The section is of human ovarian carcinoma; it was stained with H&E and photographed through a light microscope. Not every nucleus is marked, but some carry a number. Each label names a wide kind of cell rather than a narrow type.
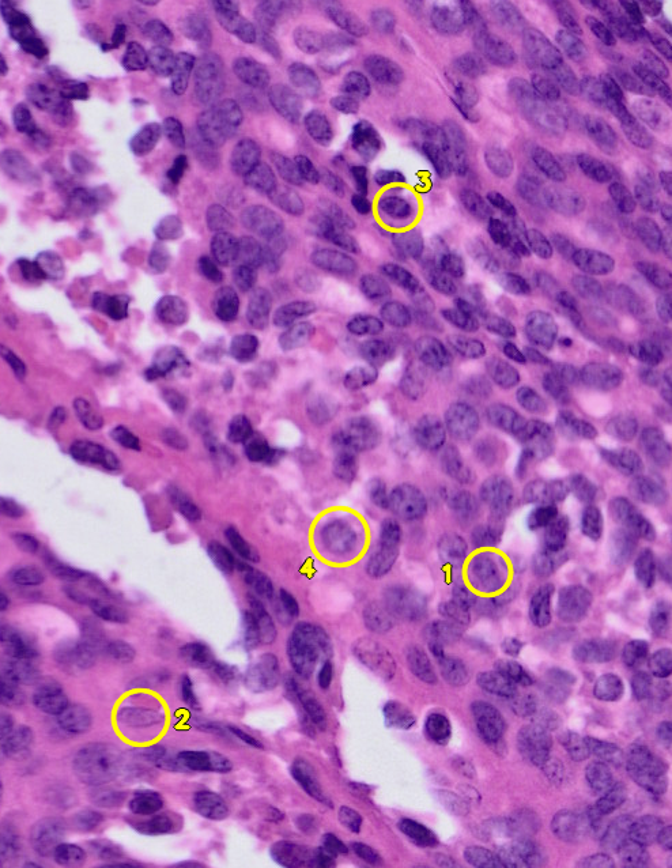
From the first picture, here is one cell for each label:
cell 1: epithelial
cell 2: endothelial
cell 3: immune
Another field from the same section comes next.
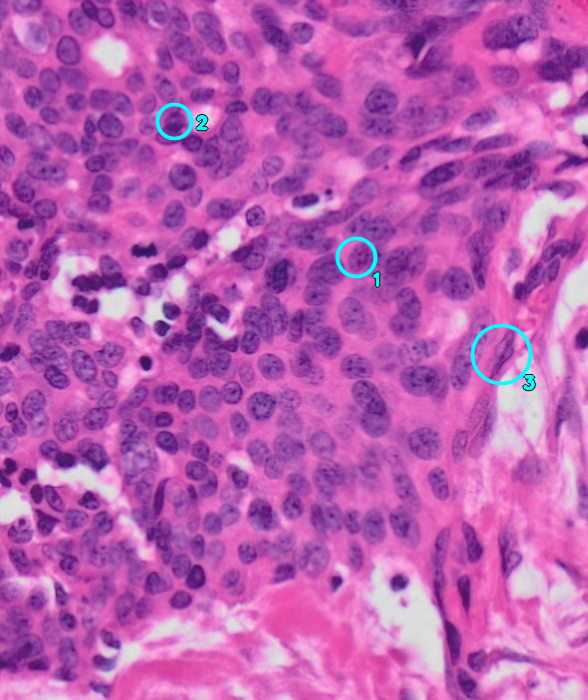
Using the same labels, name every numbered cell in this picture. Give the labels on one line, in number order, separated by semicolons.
epithelial; epithelial; endothelial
